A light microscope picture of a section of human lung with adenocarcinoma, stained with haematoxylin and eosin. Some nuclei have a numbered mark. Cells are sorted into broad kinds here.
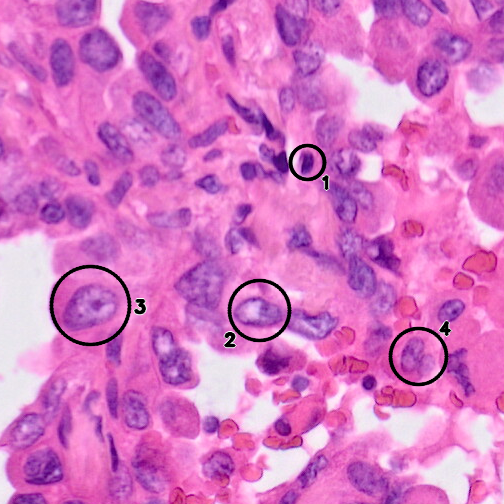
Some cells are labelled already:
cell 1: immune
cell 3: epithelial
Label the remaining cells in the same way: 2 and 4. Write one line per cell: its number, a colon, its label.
2: epithelial
4: immune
